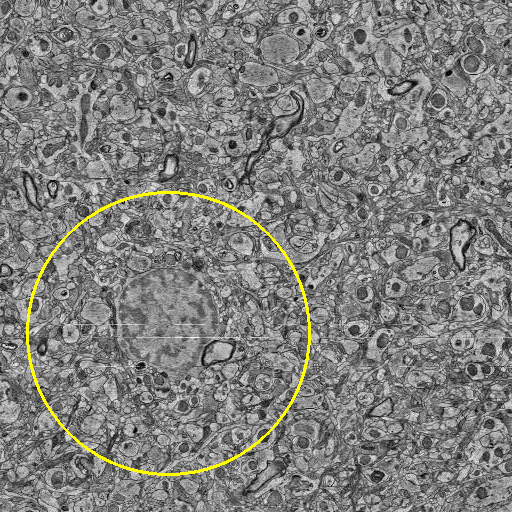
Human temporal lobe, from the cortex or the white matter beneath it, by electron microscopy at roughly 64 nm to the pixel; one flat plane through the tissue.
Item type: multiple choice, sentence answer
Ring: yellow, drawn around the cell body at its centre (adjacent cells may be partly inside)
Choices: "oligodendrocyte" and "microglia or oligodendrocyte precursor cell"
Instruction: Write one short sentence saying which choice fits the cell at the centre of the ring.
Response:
This ring is drawn around an oligodendrocyte.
